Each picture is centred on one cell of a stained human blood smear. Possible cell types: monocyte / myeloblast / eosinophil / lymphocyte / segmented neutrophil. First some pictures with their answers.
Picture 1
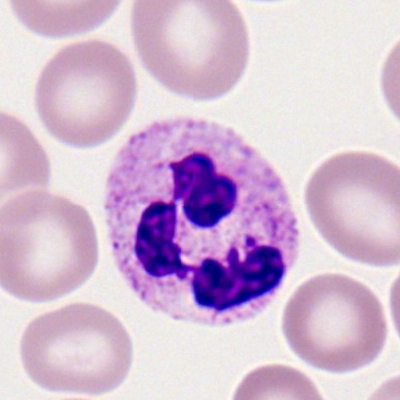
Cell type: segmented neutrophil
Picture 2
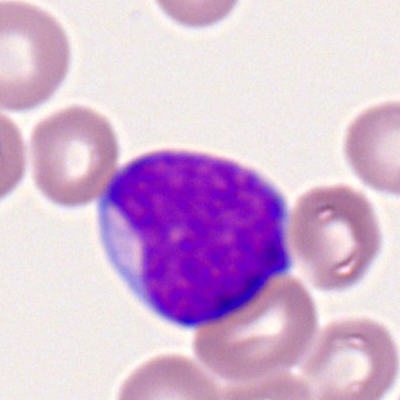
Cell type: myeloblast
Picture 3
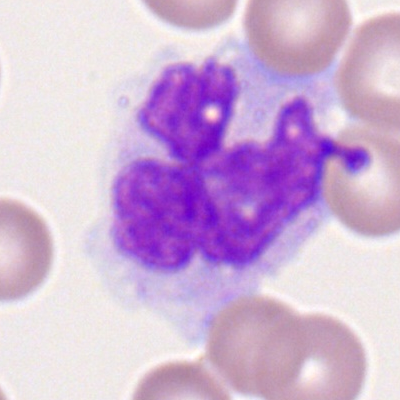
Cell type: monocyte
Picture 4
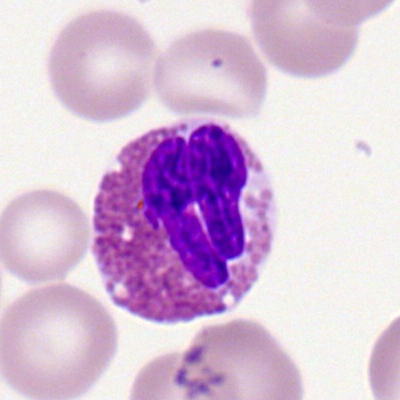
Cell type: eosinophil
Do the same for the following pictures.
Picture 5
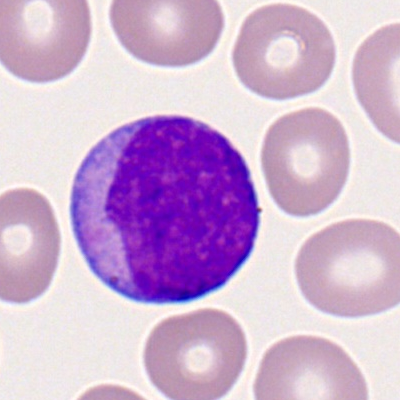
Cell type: myeloblast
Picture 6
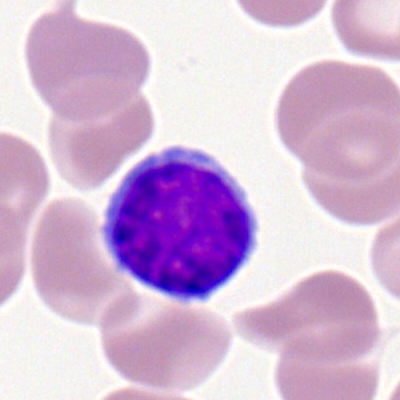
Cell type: lymphocyte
